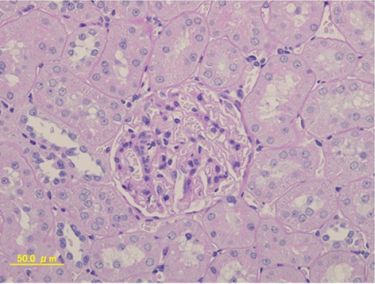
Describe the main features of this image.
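This is kidney cortex, with a single glomerulus in the middle surrounded by tubules cut in cross-section. The glomerulus is a compact, rounded tuft of capillary loops with many dark purple nuclei packed closely together, held within a thin capsule and separated from it by a narrow clear space. Around it, the tubules are lined by cuboidal cells with round, pale nuclei and pink, finely granular cytoplasm; a magenta-outlined basement membrane rims each tubule. Some tubule lumens are open and clear. Thin bands of interstitium with a few elongated nuclei lie between the tubules.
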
